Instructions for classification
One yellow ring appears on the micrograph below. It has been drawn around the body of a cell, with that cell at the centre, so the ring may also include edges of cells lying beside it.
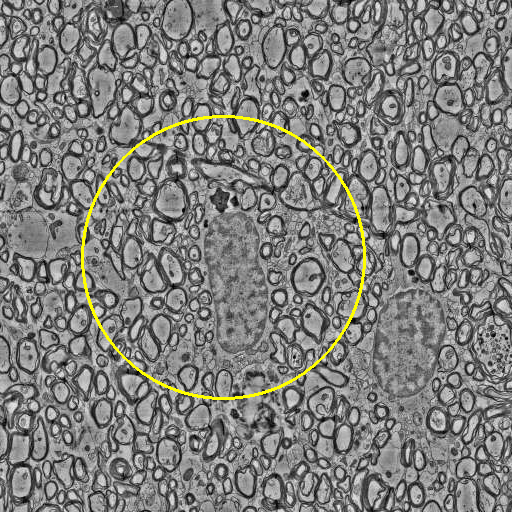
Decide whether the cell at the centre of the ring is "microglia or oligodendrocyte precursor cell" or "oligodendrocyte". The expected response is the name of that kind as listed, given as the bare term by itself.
oligodendrocyte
